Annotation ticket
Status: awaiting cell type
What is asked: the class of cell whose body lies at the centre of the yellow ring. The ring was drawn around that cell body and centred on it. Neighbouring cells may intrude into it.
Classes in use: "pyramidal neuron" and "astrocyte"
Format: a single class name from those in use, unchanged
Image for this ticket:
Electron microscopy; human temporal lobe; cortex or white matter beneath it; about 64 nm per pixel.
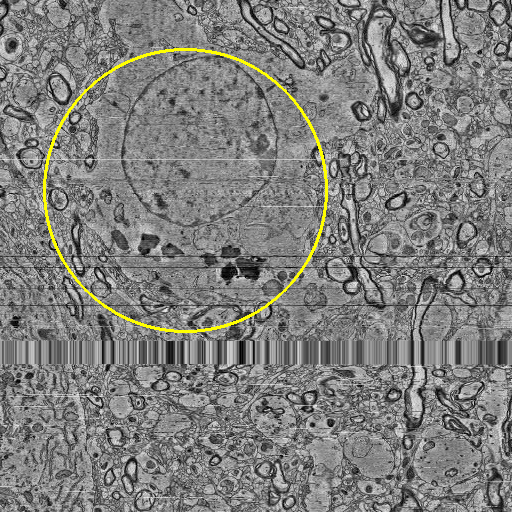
astrocyte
